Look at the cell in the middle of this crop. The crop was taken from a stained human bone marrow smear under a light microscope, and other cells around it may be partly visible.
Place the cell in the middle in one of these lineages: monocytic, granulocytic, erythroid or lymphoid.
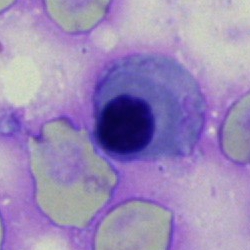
erythroid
